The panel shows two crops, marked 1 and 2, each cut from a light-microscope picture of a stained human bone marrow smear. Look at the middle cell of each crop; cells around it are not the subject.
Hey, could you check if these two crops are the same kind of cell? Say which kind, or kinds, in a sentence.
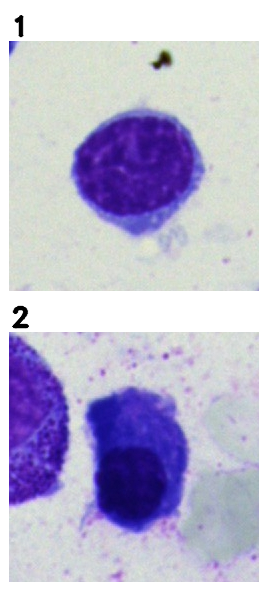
No, while a lymphocyte is found in crop 1, a plasma cell is found in crop 2.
